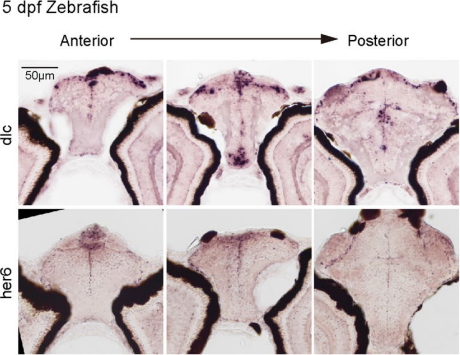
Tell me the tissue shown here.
Forebrain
